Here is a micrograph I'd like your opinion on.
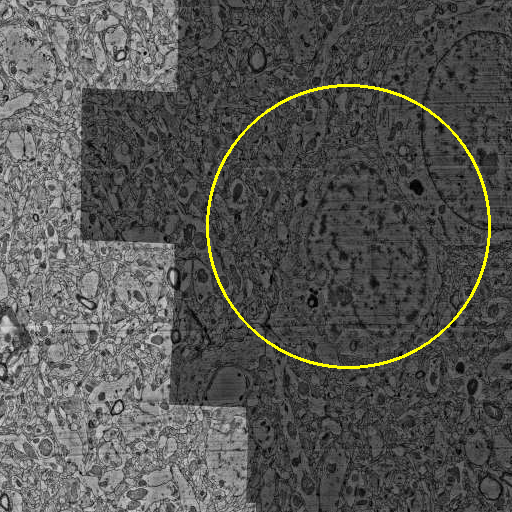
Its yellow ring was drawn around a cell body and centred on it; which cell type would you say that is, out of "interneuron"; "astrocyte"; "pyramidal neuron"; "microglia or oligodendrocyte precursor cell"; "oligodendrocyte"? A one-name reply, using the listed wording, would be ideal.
interneuron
